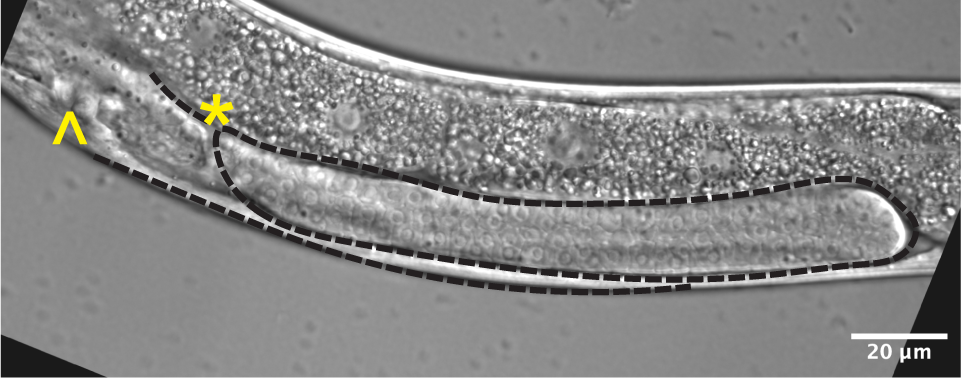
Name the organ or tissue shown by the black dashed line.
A: gonads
